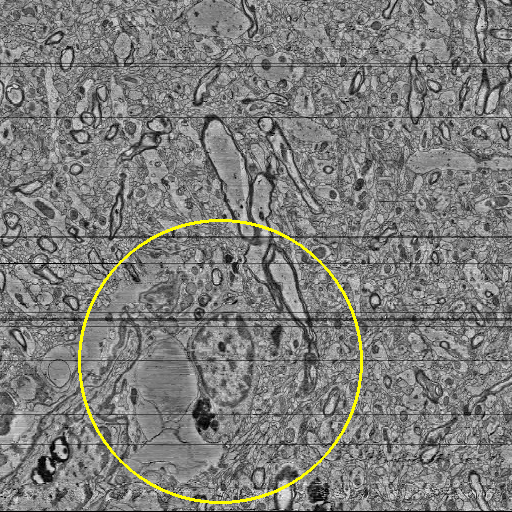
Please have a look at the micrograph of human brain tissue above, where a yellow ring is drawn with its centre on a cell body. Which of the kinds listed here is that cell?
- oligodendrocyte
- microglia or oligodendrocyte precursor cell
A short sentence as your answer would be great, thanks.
At the centre of the ring sits an oligodendrocyte.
